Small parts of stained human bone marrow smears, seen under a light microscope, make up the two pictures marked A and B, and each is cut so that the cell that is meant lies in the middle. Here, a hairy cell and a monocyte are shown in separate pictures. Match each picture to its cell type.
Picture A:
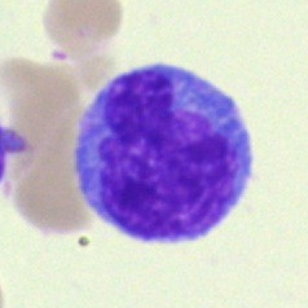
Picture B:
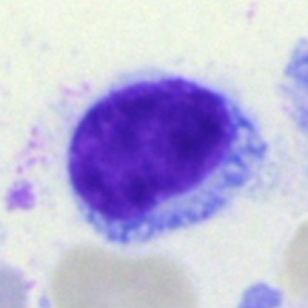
A: monocyte
B: hairy cell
